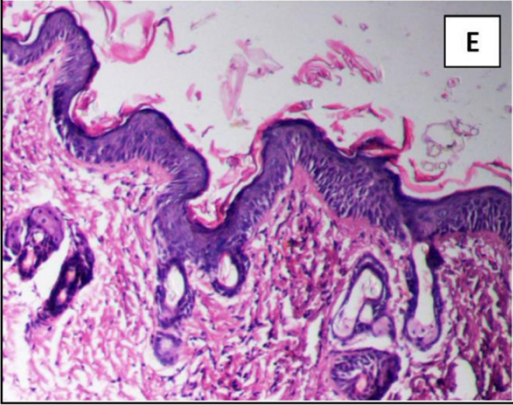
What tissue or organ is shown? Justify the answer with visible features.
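A purple stratified surface layer with undulating outline overlies pink fibrous connective tissue. Hair follicles lie in the connective tissue below the surface layer. On this evidence: skin.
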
